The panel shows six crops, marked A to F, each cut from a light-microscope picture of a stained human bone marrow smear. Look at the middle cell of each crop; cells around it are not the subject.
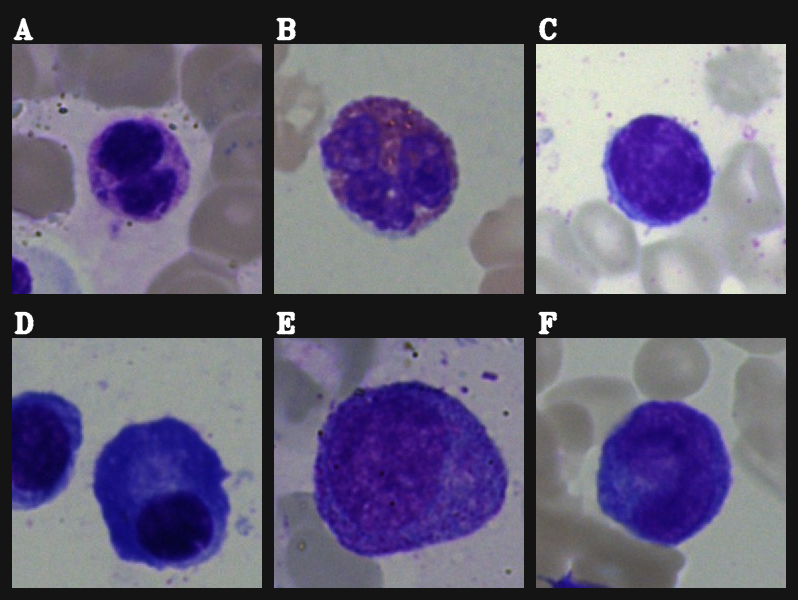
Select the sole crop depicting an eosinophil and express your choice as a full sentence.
Crop B is where an eosinophil is to be found.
